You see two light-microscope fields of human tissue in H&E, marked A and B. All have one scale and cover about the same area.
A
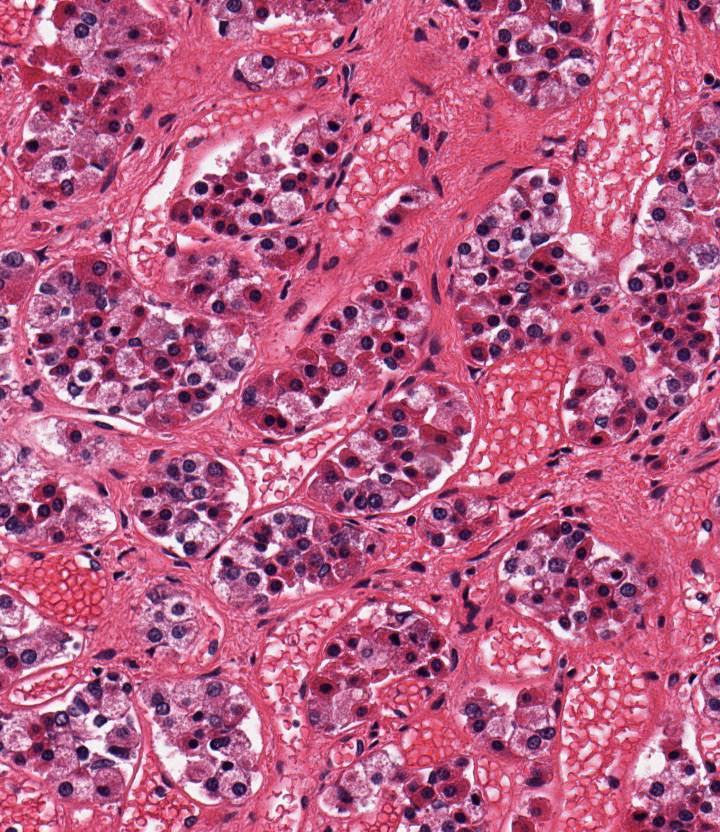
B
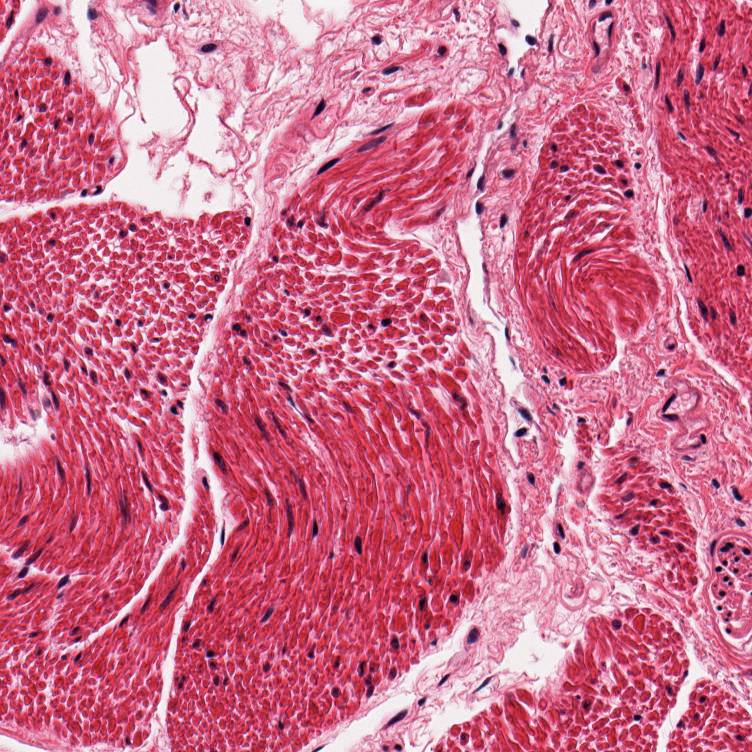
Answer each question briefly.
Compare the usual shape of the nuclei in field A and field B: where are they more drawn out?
B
